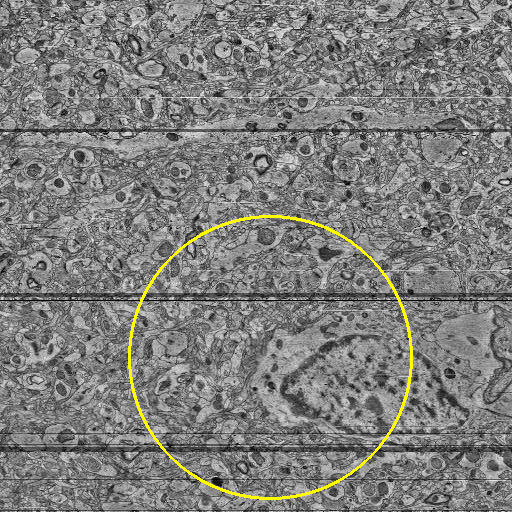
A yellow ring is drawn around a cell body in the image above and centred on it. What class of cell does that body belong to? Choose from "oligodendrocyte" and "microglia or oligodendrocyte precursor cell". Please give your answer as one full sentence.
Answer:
The yellow ring above is centred on the cell body of a microglial cell or oligodendrocyte precursor cell.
